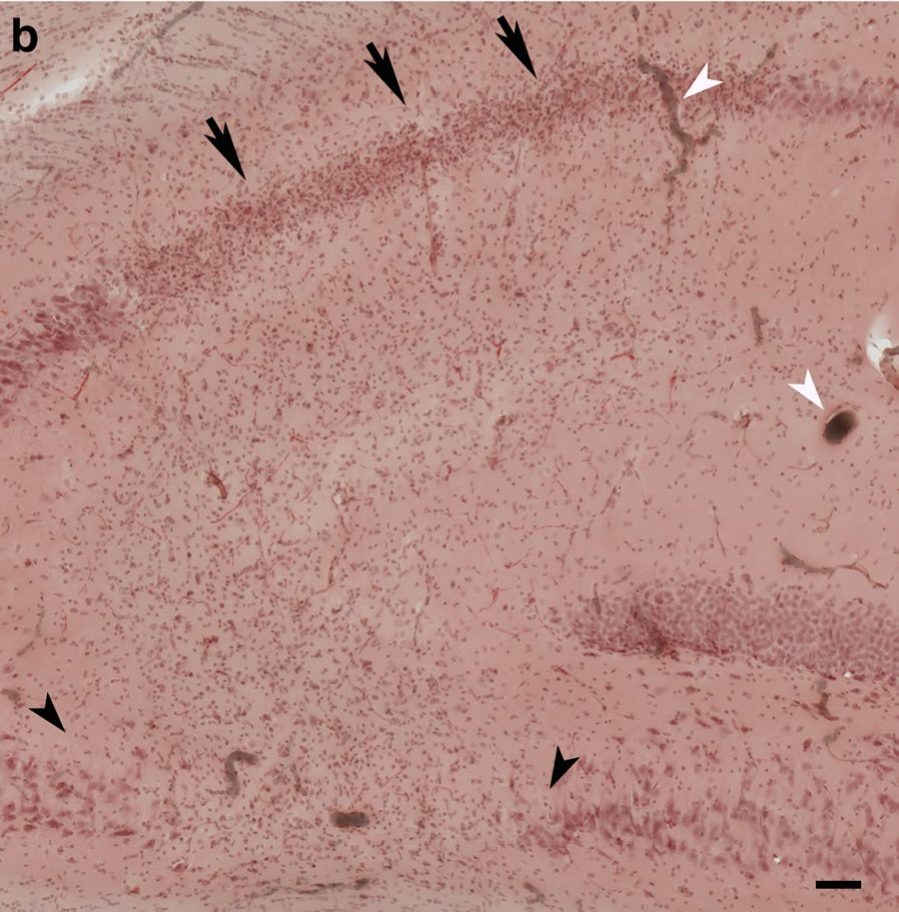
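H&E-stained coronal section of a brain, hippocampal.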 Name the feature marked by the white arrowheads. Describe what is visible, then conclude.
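The arrowheads point at dark grey-black material. The dark material follows the branching or round outline of blood vessels.
Answer: intravascular deposits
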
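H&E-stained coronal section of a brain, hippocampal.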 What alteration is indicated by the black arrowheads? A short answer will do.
Neuronal loss.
